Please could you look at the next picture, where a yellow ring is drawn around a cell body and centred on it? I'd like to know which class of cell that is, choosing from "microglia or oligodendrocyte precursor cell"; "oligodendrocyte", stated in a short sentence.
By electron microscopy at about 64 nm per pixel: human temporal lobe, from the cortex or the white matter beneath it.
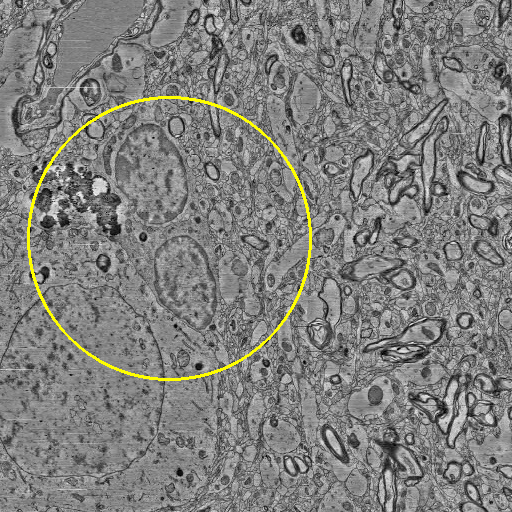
The ring's centre lies on an oligodendrocyte.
